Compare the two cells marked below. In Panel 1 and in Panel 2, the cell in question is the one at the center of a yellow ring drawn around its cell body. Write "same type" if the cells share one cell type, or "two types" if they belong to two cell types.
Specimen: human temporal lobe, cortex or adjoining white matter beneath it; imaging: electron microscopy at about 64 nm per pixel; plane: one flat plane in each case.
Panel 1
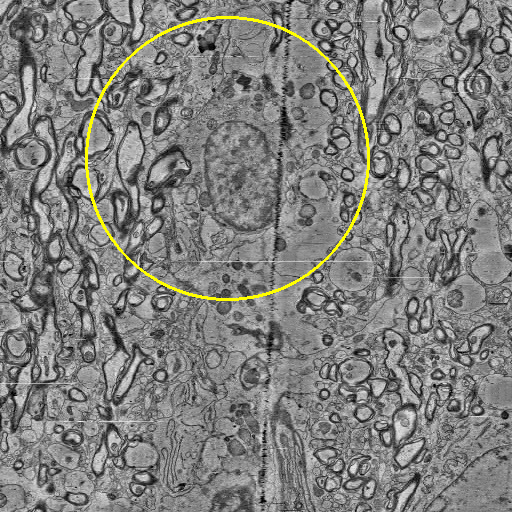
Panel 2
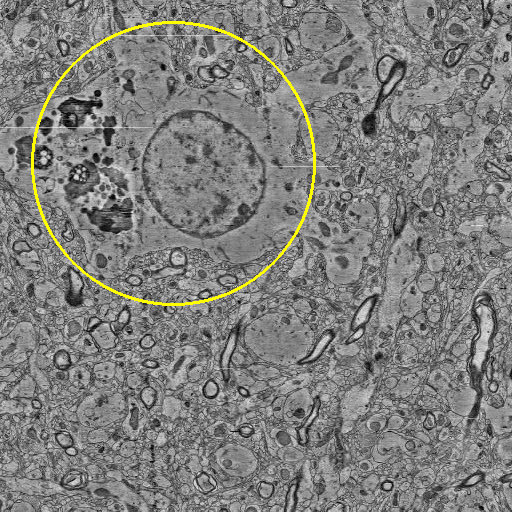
two types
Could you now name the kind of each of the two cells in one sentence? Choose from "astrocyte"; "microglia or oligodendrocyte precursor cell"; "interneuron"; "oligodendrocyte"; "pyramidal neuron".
The first ring encloses an oligodendrocyte; the second ring encloses an astrocyte.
